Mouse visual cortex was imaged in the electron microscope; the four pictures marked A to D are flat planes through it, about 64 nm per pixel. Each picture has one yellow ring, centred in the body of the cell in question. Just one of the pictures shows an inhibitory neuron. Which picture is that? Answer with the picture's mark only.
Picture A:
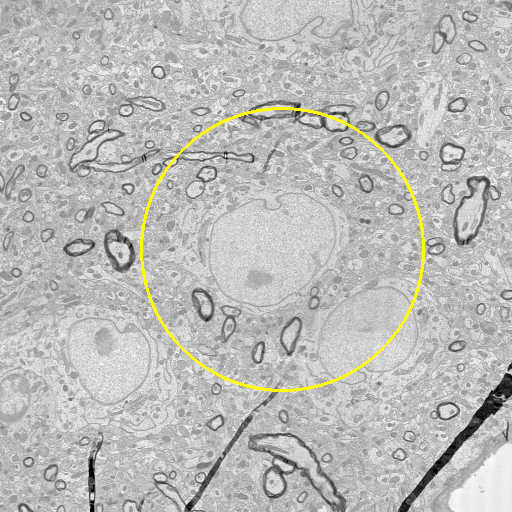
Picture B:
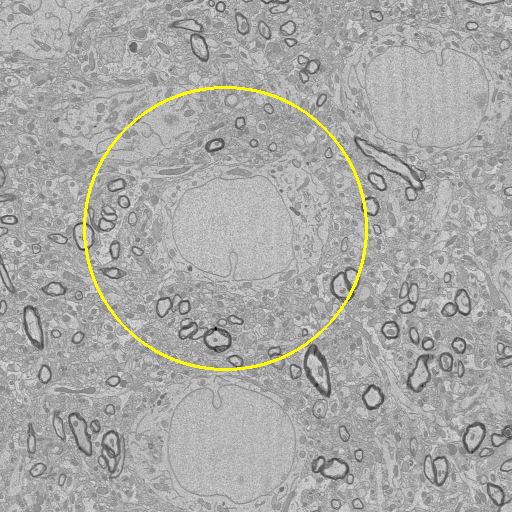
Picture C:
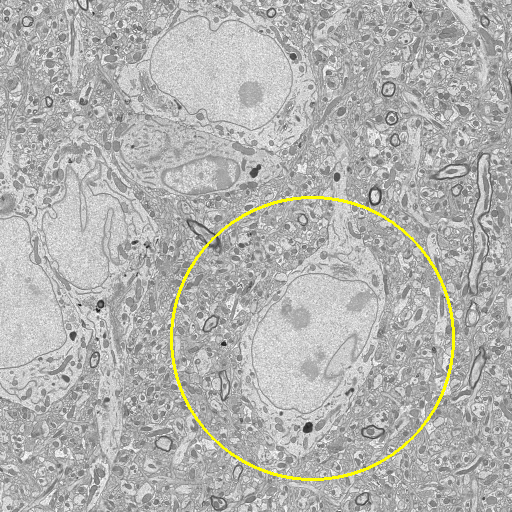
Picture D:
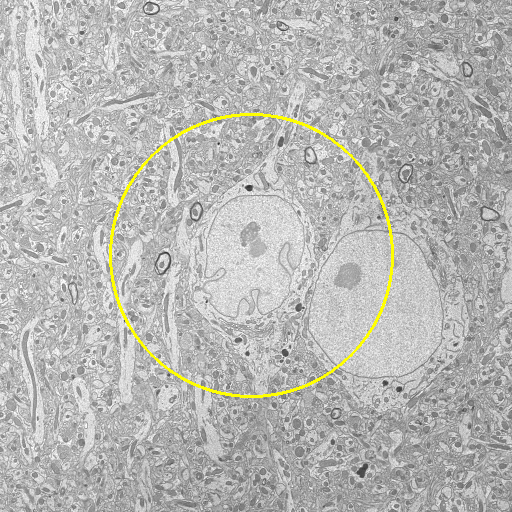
D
